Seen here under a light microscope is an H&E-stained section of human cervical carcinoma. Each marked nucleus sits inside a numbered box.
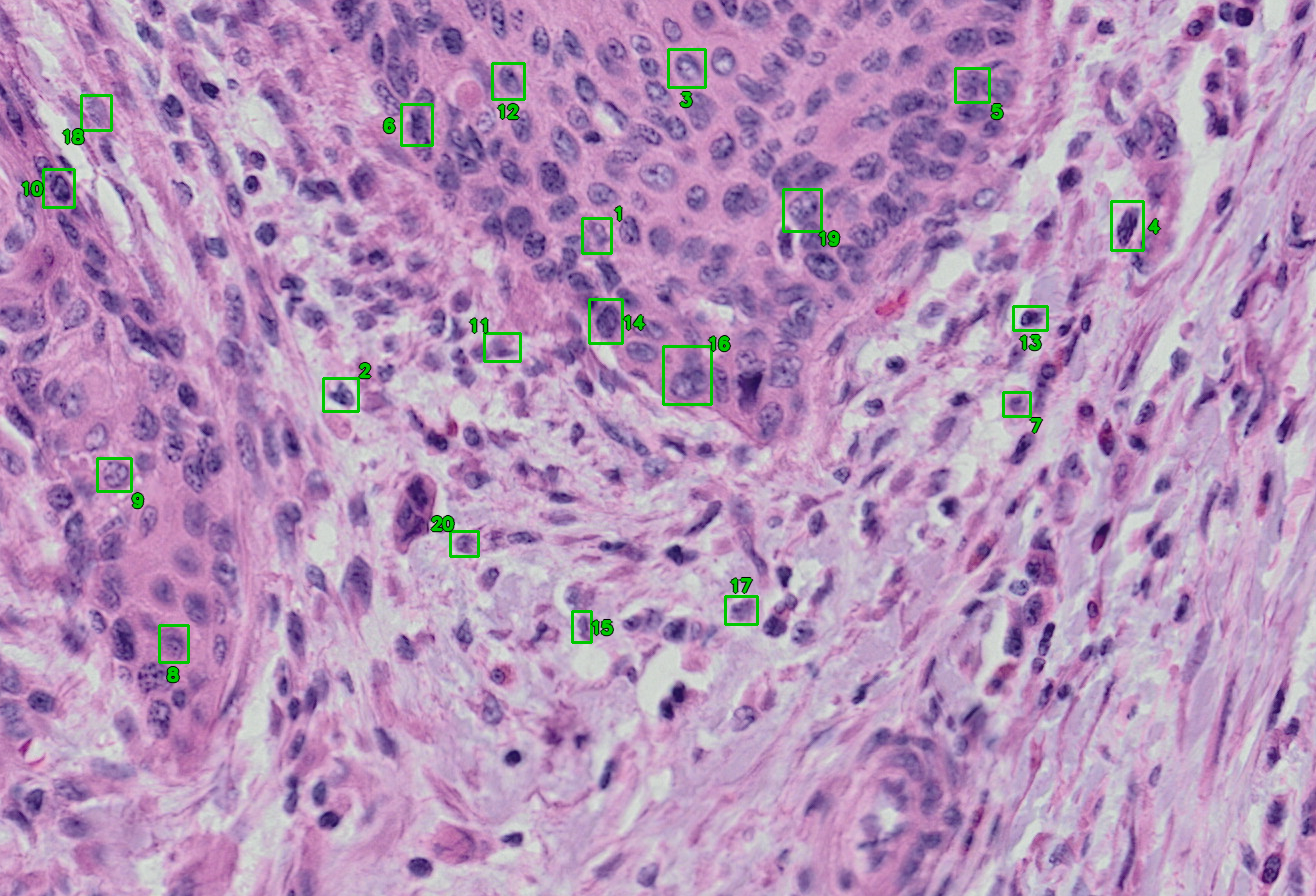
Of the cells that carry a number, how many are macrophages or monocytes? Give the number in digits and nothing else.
2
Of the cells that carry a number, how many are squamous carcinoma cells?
11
